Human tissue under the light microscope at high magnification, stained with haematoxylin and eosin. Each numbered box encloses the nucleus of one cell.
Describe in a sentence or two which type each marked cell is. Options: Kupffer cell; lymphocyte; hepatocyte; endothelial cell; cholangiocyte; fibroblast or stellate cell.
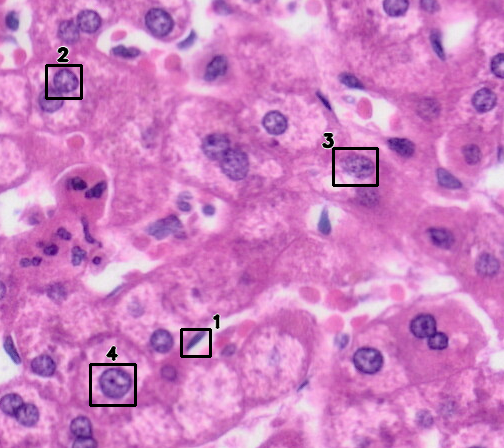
Cell 1 is an endothelial cell, cell 2 is a hepatocyte, cell 3 is a hepatocyte and cell 4 is a hepatocyte.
